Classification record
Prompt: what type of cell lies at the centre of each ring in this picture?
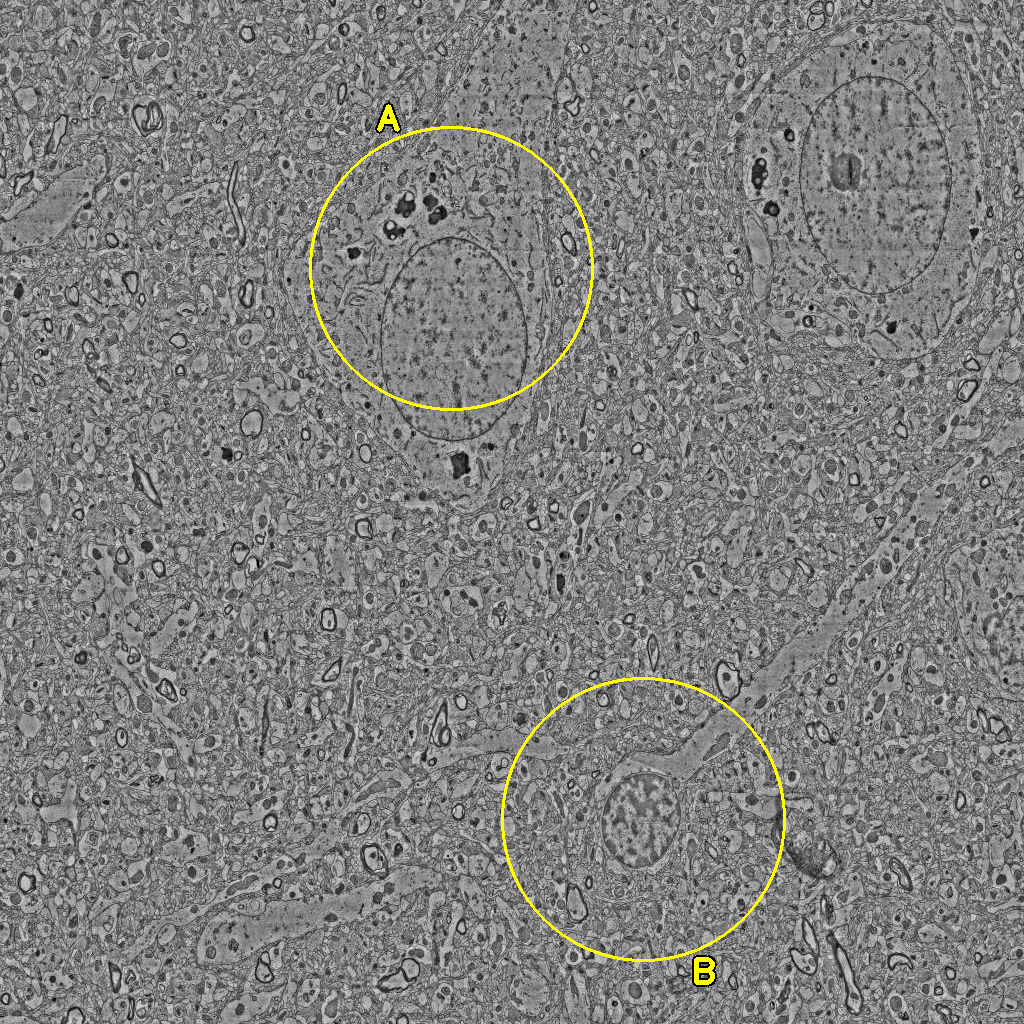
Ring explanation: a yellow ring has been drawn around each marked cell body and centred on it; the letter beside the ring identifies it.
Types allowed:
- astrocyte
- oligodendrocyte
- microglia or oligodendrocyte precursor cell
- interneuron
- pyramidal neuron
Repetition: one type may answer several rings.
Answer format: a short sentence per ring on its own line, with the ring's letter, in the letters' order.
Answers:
Ring A shows a pyramidal neuron at its centre.
Ring B shows an oligodendrocyte at its centre.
